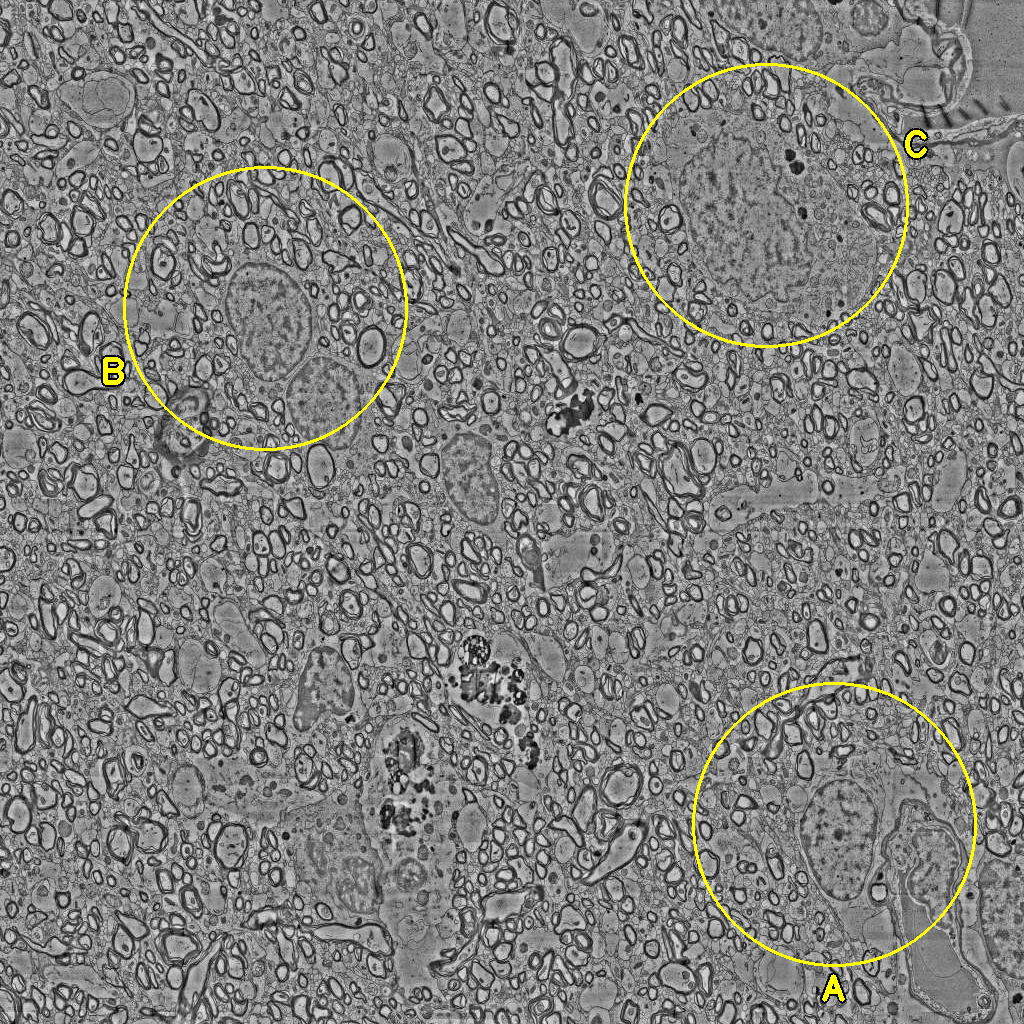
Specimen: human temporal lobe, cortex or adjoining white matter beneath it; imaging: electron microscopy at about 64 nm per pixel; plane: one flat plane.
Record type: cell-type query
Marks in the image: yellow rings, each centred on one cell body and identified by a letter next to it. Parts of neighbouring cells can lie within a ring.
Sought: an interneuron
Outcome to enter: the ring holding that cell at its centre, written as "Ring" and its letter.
Ring C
